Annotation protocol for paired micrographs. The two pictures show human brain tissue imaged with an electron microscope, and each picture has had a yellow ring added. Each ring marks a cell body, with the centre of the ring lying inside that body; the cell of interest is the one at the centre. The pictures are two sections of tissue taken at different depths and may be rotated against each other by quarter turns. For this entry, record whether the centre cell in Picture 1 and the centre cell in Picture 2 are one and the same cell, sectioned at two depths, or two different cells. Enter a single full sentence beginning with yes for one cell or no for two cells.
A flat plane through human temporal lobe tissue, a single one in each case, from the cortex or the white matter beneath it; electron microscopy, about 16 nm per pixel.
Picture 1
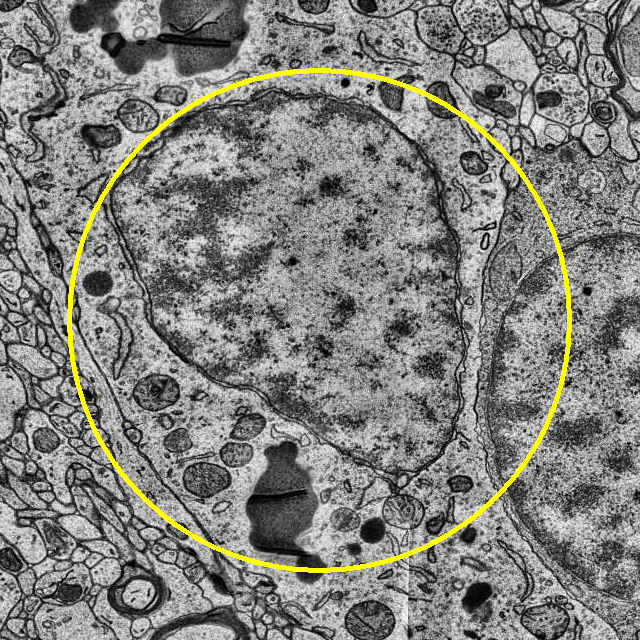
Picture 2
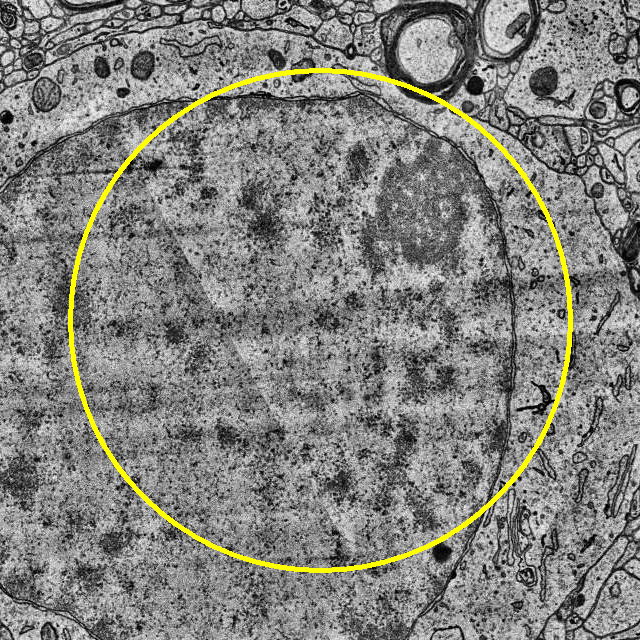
No, these are two different cells, each marked with a ring.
